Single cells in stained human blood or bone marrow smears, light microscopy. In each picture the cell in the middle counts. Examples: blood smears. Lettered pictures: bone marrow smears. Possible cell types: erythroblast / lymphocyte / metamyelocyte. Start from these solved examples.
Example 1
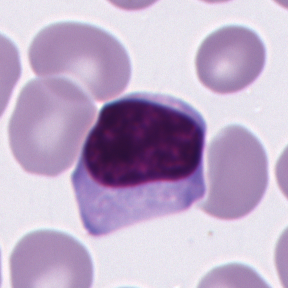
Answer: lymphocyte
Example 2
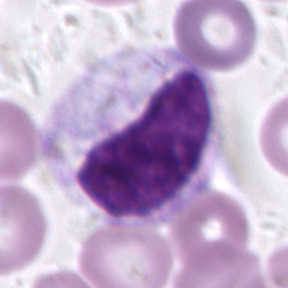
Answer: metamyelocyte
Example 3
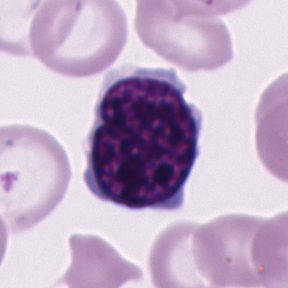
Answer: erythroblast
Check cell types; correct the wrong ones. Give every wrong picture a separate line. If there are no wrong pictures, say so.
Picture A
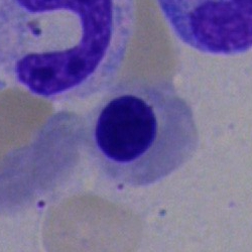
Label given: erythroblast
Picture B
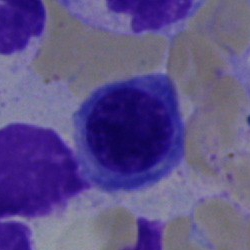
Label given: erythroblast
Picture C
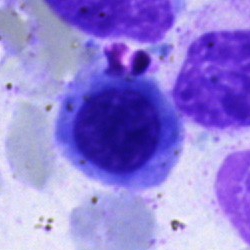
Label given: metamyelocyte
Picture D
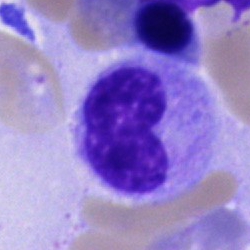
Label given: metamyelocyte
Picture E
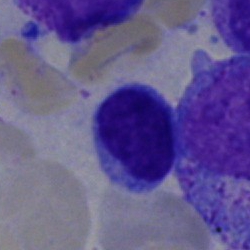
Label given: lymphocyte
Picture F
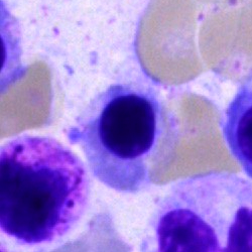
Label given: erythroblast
C: change metamyelocyte to erythroblast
